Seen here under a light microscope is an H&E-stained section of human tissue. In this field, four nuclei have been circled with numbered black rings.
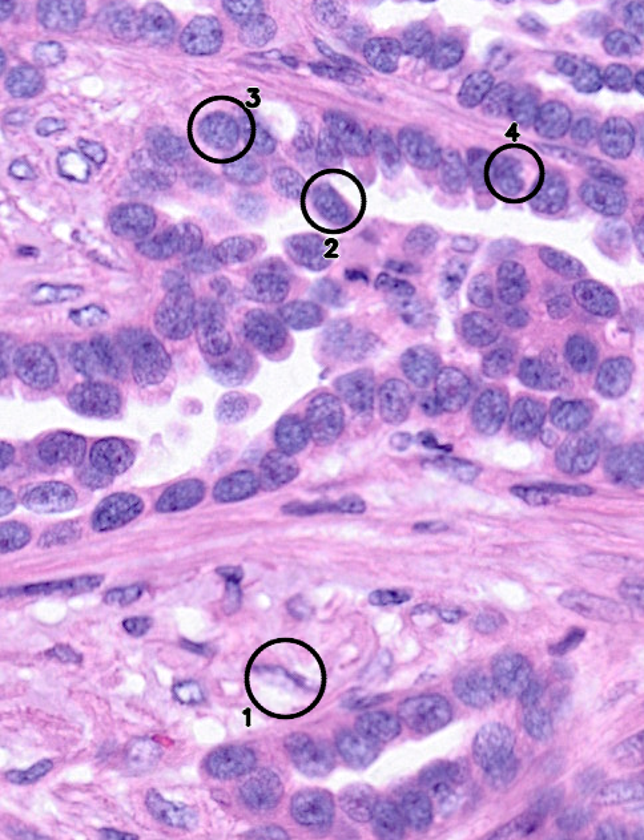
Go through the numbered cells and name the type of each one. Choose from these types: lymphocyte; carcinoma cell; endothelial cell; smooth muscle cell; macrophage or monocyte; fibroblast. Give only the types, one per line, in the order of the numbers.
fibroblast
carcinoma cell
carcinoma cell
carcinoma cell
